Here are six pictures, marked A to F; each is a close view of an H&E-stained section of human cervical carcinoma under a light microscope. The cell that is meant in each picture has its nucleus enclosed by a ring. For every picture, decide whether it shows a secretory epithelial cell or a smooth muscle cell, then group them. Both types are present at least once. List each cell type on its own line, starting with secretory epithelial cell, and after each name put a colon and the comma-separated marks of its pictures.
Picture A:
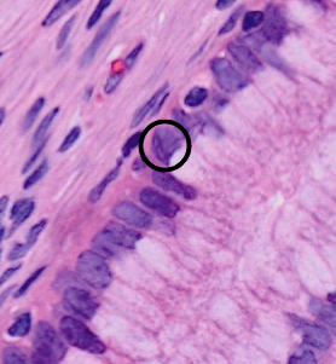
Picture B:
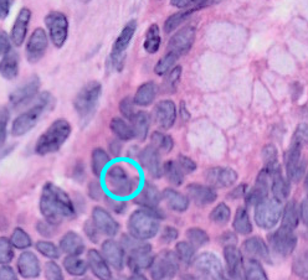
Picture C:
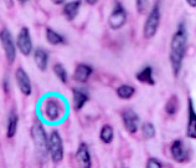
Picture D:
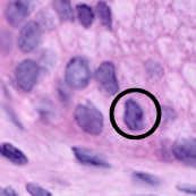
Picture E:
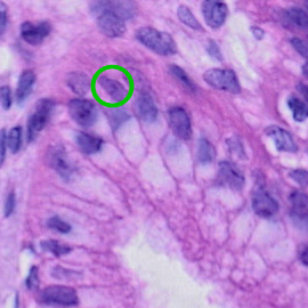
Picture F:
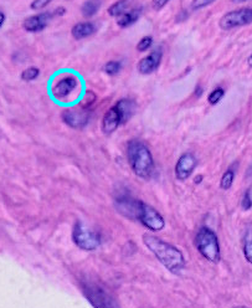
secretory epithelial cell: A, B, D, E
smooth muscle cell: C, F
